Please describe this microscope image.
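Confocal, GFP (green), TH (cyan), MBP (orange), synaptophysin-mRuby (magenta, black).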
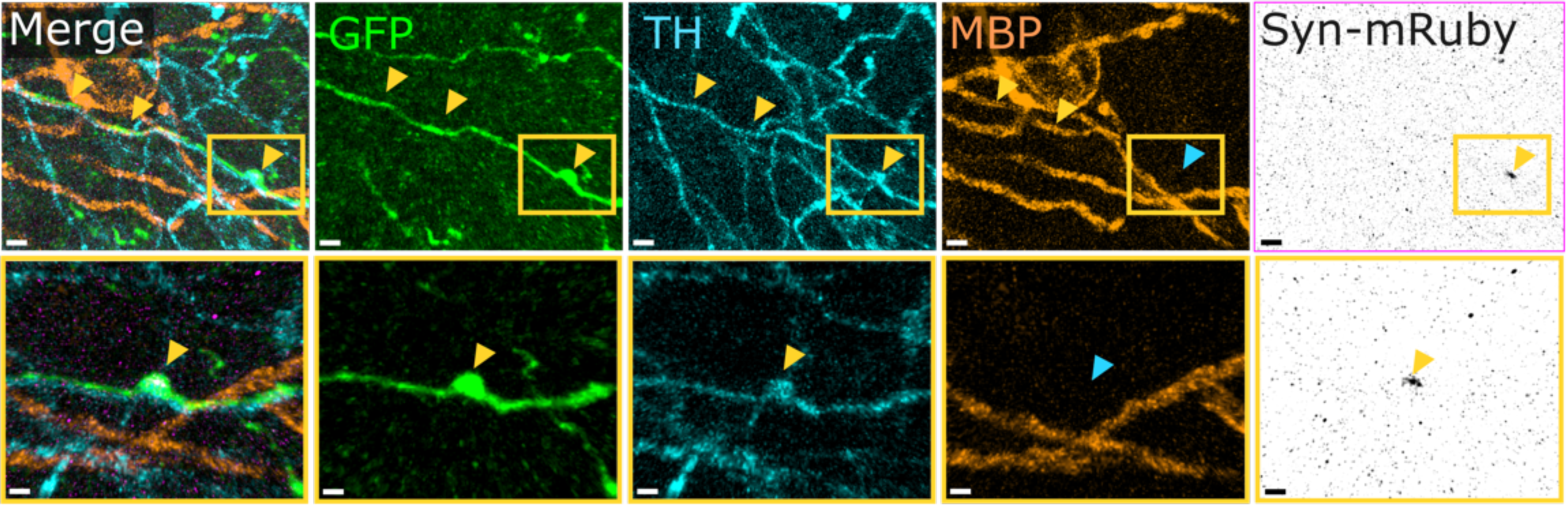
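A thin green fiber crosses the field diagonally and carries a round swelling, the presynaptic bouton, enclosed in a yellow box. The same fiber and swelling appear in cyan among several other fine cyan fibers. In the black-on-white channel a small dark punctum lies exactly at the swelling, while the rest of the field shows only faint scattered specks.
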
